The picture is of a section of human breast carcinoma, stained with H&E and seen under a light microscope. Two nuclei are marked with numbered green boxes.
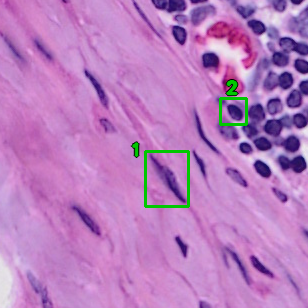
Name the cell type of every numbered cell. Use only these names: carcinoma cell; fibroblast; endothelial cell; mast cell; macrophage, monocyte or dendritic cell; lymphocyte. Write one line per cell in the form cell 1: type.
cell 1: fibroblast
cell 2: lymphocyte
